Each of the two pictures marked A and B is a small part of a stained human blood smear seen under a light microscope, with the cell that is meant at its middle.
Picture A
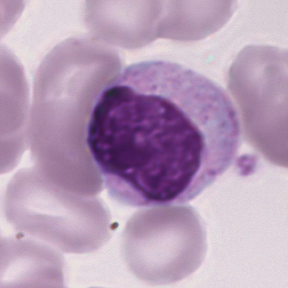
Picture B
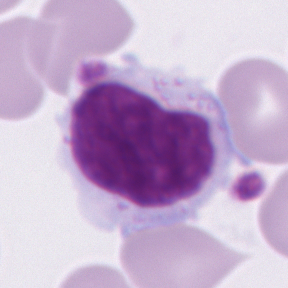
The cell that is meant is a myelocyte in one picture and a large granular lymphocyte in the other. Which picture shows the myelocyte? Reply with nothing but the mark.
A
